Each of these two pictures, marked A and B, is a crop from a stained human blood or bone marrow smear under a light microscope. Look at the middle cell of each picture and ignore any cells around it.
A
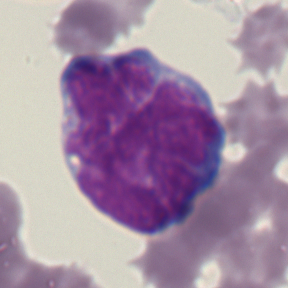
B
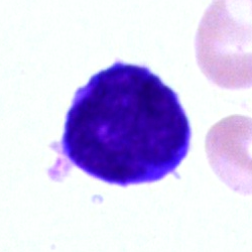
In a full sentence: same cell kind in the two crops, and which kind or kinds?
Yes, the central cells in both crops are blasts.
